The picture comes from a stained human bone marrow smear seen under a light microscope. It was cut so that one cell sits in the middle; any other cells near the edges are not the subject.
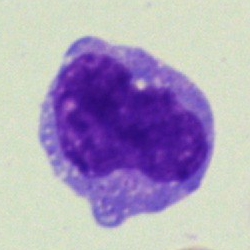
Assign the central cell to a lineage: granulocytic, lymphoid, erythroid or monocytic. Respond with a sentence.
The middle cell of the crop arises from the monocytic lineage.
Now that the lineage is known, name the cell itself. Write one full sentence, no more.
The cell the crop is centered on is a monocyte.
